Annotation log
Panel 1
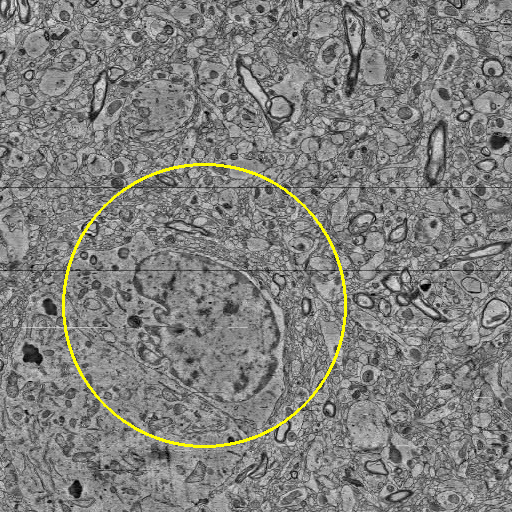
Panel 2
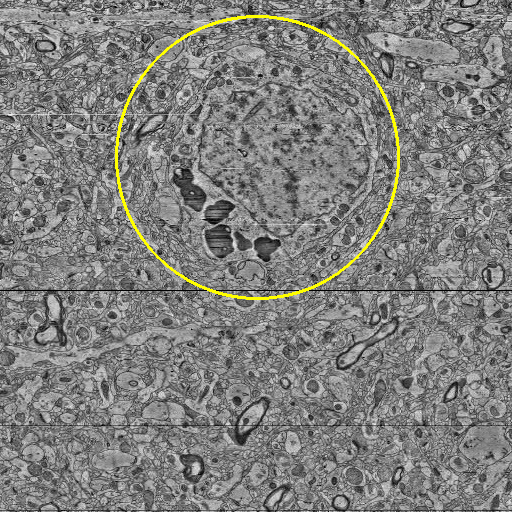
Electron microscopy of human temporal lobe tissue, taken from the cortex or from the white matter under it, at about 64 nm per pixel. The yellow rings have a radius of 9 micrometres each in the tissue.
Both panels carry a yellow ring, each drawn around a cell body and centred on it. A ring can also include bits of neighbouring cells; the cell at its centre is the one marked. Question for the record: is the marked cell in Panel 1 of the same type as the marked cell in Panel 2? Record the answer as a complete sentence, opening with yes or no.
No, the marked cells in Panel 1 and Panel 2 are of two types.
